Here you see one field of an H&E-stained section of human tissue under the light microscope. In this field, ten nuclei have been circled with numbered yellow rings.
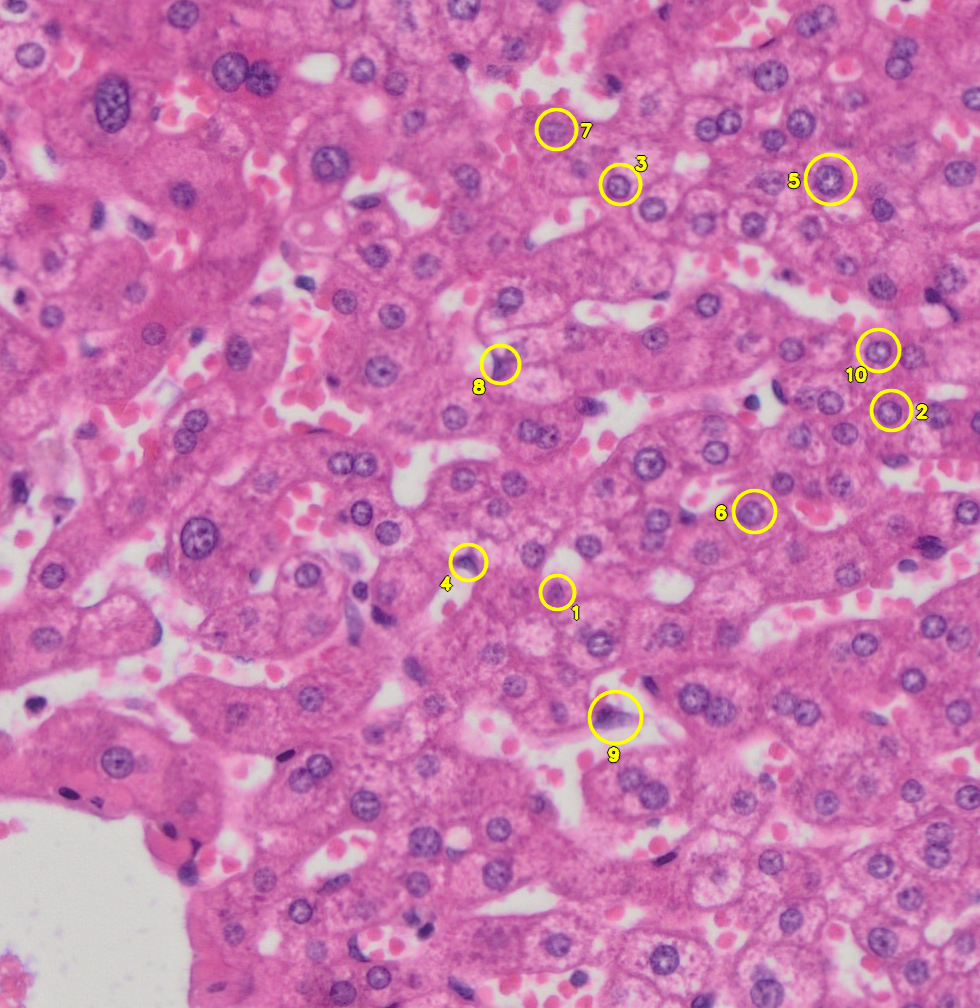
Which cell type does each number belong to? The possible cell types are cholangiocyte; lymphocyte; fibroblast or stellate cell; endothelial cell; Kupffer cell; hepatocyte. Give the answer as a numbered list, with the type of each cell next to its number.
1. Kupffer cell
2. hepatocyte
3. hepatocyte
4. endothelial cell
5. hepatocyte
6. hepatocyte
7. hepatocyte
8. endothelial cell
9. Kupffer cell
10. hepatocyte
